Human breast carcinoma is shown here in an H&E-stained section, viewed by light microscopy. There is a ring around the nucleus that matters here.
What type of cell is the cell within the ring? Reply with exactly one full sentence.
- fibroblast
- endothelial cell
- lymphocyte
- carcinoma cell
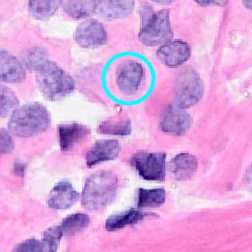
Among the cells in this section, the cell within the ring is a carcinoma cell.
